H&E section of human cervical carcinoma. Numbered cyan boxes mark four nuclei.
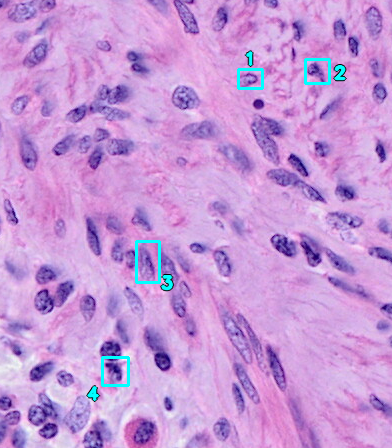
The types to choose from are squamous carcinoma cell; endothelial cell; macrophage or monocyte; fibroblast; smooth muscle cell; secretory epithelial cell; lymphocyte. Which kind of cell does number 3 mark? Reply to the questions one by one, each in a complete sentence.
The cell that bears the number 3 is a smooth muscle cell.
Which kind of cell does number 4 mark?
The cell referenced by the number 4 is a lymphocyte in this field.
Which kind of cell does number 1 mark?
Denoted by the label 1 in the section is a smooth muscle cell.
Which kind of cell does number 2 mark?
Cell 2 in the field is a smooth muscle cell.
